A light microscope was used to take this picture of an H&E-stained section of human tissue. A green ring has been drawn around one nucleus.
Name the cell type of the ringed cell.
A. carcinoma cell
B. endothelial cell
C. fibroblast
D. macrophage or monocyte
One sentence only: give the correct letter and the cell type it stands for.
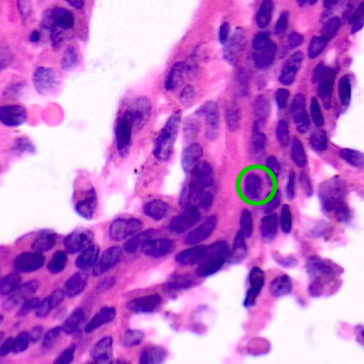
Best answer: option A, with the ringed cell being a carcinoma cell.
